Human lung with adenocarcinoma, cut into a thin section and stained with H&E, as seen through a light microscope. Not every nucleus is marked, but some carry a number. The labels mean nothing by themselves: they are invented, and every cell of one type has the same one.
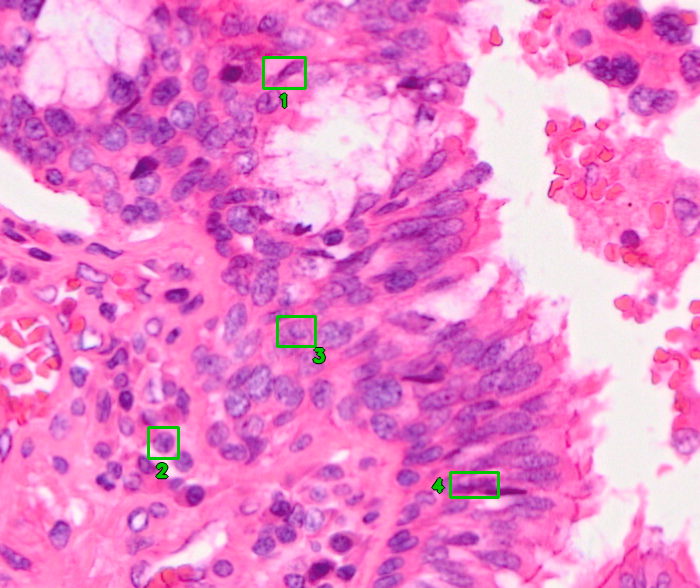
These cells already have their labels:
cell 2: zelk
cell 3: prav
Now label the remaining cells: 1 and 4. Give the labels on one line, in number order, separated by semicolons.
prav; prav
